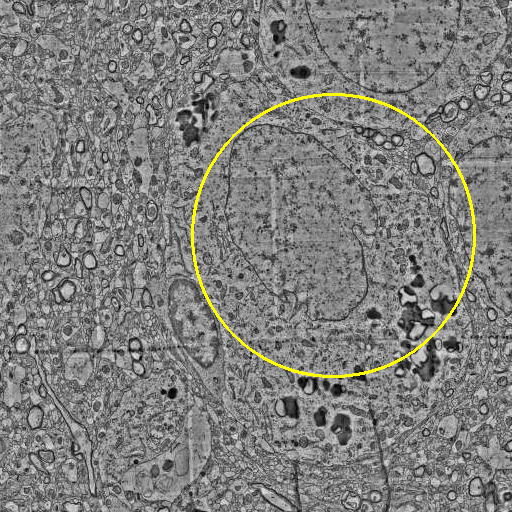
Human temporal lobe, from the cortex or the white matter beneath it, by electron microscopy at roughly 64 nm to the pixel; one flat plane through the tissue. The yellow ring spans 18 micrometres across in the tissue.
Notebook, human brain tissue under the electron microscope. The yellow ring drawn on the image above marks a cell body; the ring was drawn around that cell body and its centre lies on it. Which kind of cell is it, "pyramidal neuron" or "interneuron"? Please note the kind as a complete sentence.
The marked cell body is that of a pyramidal neuron.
